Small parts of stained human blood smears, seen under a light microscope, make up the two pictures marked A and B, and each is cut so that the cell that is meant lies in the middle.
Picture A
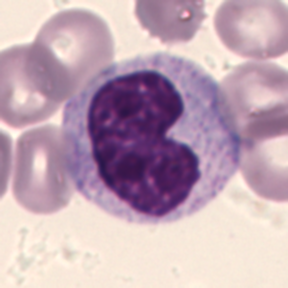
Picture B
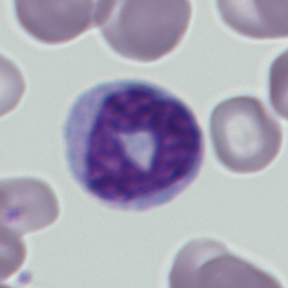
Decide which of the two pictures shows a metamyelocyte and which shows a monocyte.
A: metamyelocyte
B: monocyte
